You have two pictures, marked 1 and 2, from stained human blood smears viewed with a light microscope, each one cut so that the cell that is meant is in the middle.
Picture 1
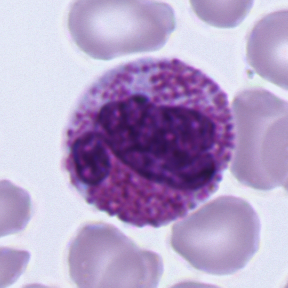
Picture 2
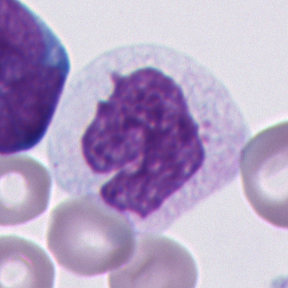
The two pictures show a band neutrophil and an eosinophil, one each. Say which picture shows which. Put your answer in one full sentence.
It is picture 1 that shows an eosinophil, and picture 2 that shows a band neutrophil.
